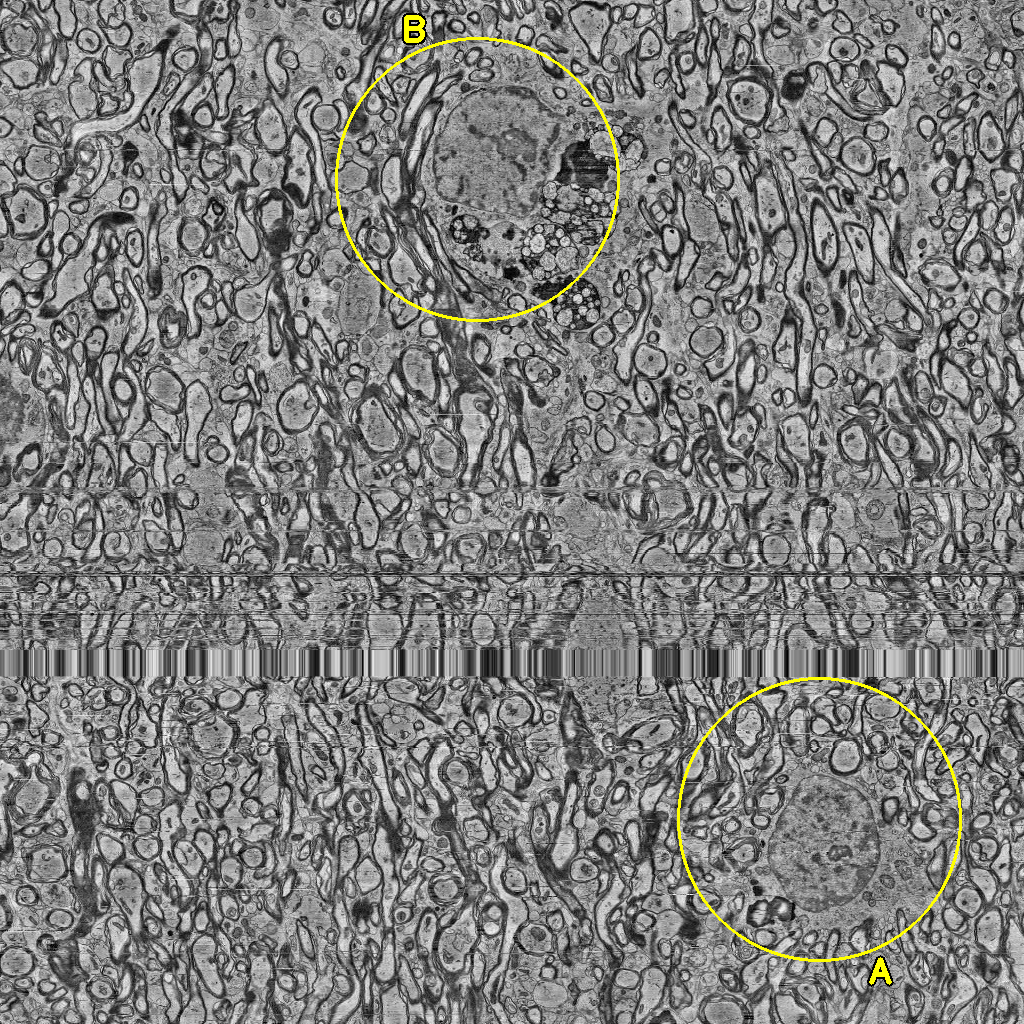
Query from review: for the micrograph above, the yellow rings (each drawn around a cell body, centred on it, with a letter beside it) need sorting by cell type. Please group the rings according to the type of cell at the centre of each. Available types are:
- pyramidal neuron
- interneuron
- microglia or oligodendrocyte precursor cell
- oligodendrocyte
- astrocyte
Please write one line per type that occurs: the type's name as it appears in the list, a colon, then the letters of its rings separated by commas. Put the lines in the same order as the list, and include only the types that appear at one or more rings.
oligodendrocyte: A
astrocyte: B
